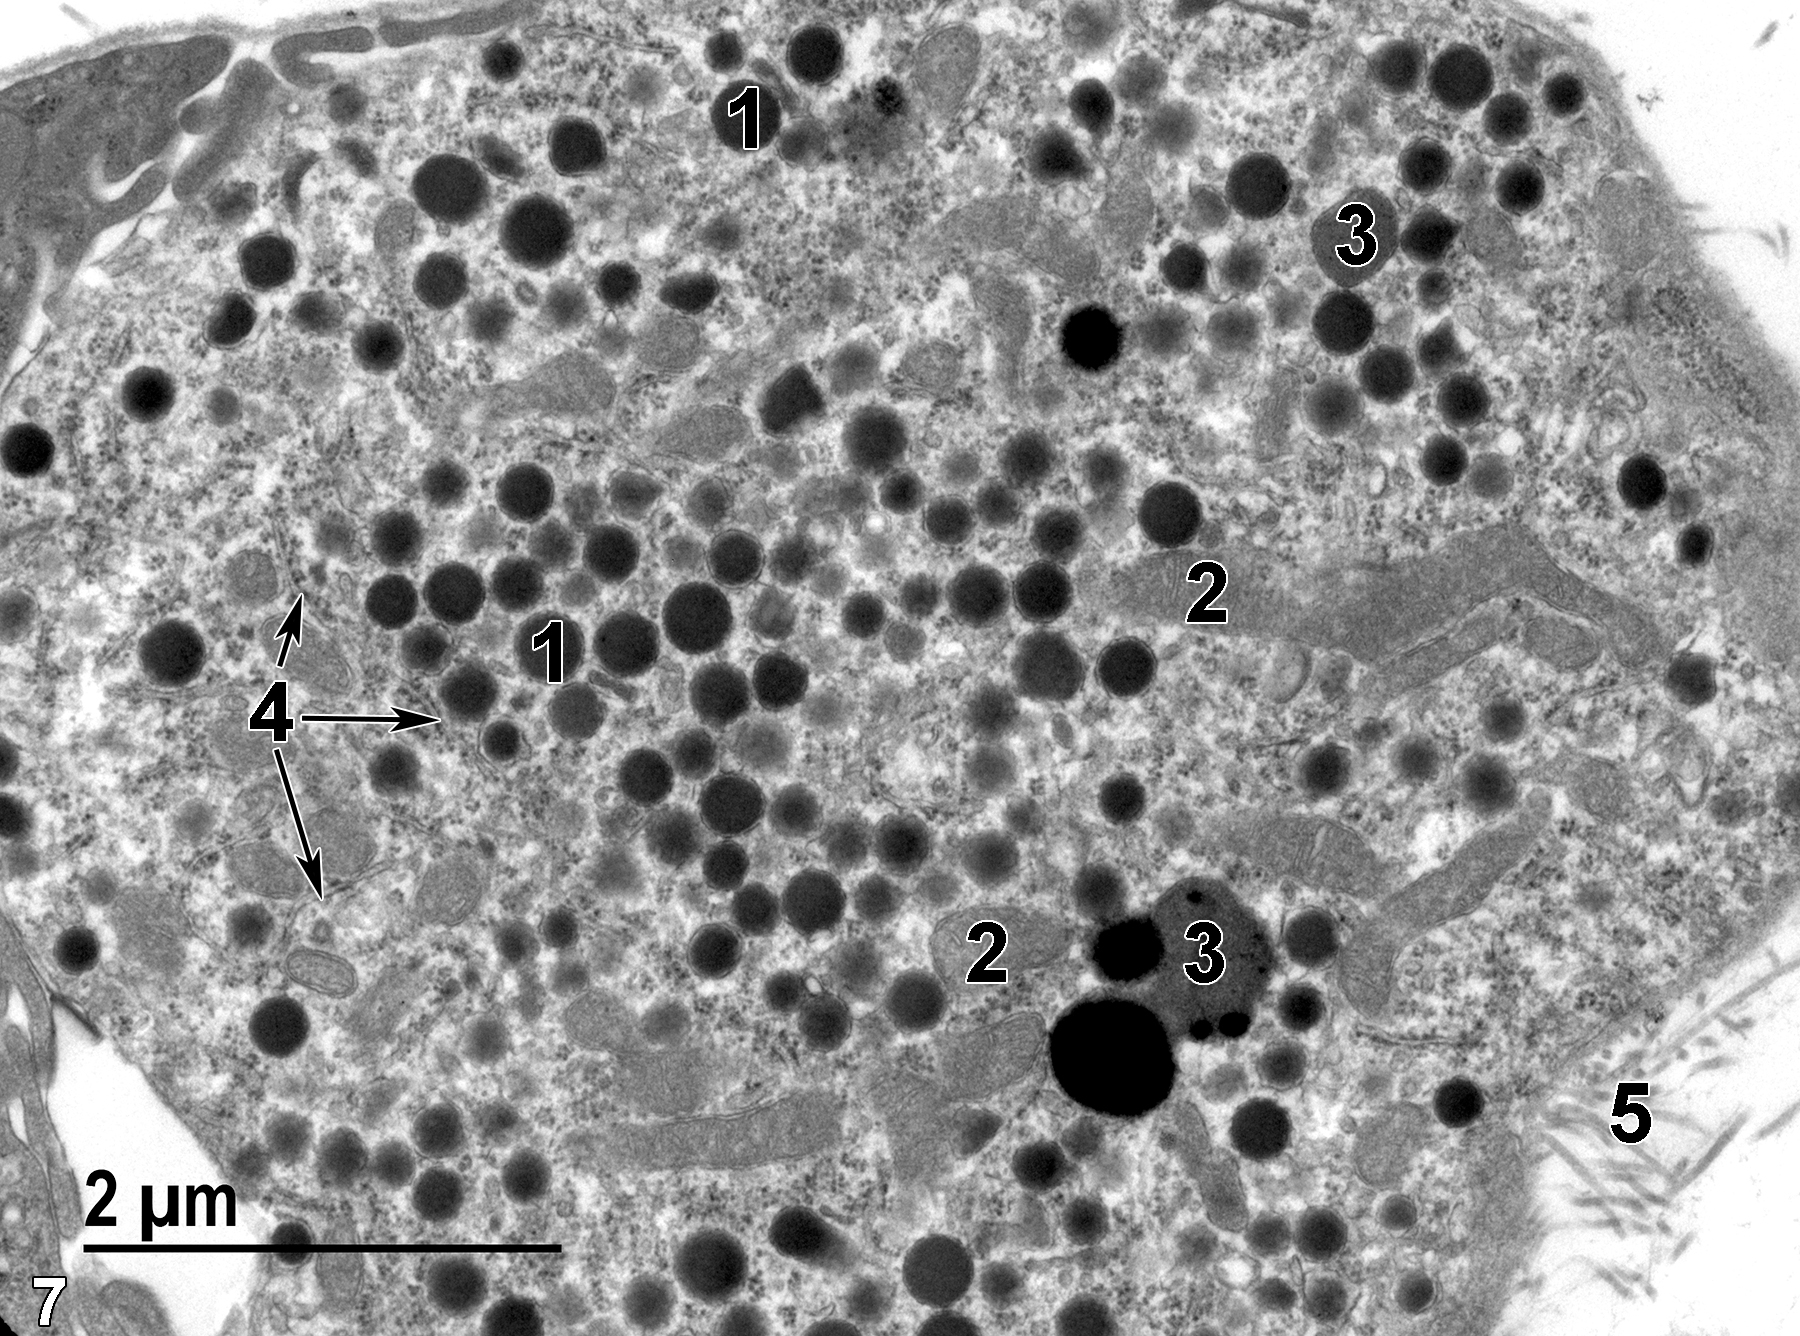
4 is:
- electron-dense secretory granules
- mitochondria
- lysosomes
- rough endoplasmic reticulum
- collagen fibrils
rough endoplasmic reticulum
